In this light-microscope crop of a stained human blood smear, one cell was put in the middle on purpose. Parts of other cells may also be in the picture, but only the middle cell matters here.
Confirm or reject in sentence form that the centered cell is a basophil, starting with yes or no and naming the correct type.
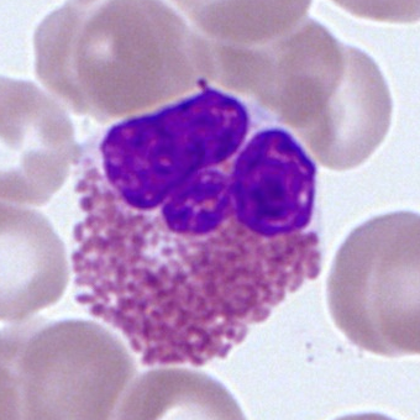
No, the cell in the centre is an eosinophil instead of a basophil.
